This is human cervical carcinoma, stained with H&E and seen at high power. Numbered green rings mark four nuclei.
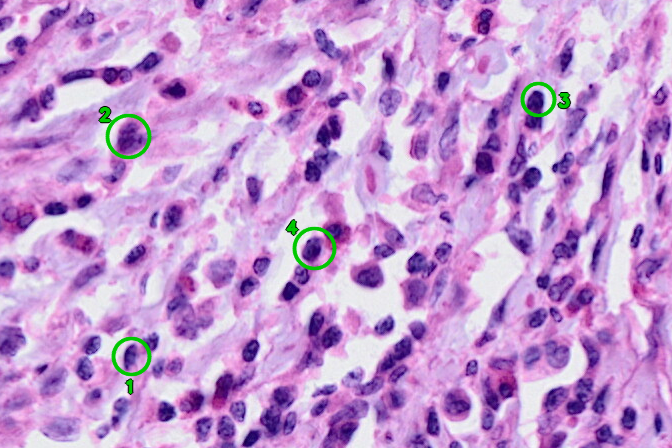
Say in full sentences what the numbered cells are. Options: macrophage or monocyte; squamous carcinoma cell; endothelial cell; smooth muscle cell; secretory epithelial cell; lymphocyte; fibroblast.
Cell 1 is a lymphocyte, cell 2 is a macrophage or monocyte, cell 3 is a lymphocyte and cell 4 is a lymphocyte.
